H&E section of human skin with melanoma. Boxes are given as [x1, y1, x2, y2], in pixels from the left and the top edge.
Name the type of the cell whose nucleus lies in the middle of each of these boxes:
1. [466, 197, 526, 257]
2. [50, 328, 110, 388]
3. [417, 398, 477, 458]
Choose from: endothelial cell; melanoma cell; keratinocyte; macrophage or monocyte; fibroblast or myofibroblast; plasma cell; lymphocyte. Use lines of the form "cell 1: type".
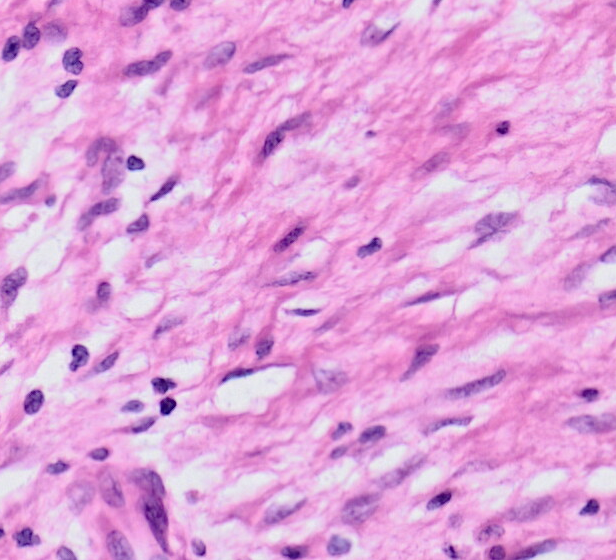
cell 1: fibroblast or myofibroblast
cell 2: lymphocyte
cell 3: fibroblast or myofibroblast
